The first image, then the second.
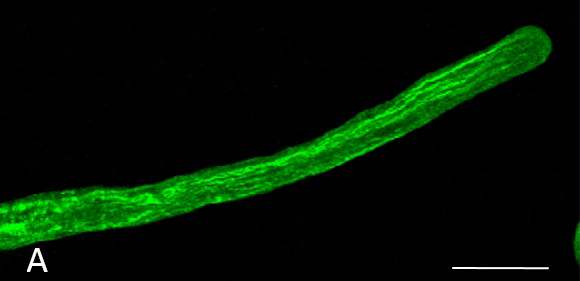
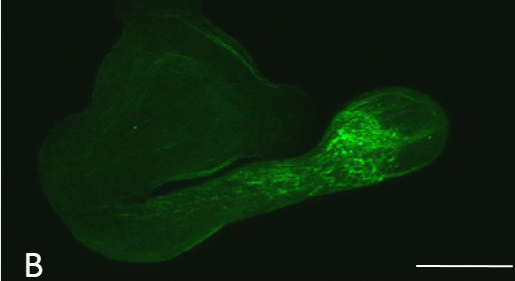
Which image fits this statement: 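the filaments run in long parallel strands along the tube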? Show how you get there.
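The first image. Second image: green signal behind the swollen tip is a patchy, irregular meshwork of short bright fragments. First image: fine green strands run lengthwise and parallel along the tube.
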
